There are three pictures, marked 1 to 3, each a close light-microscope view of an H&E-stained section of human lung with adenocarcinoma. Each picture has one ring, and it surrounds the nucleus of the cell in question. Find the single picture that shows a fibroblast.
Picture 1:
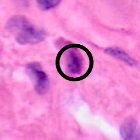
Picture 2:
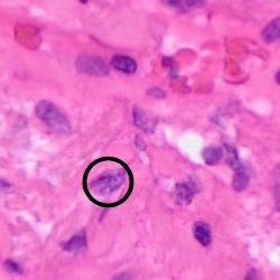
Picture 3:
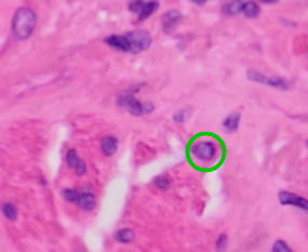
2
